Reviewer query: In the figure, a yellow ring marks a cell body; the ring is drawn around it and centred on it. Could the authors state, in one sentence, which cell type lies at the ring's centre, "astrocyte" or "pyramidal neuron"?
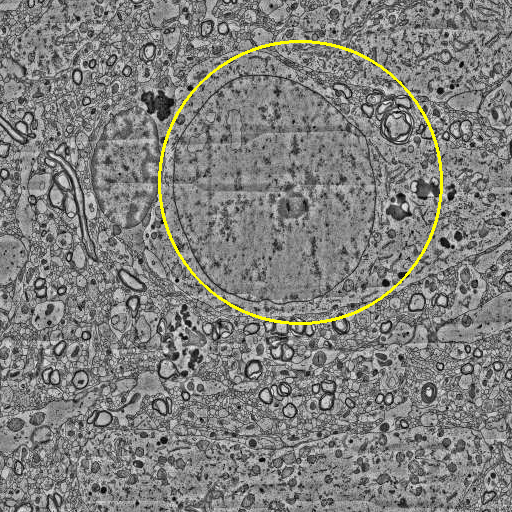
The ring is centred on a pyramidal neuron.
